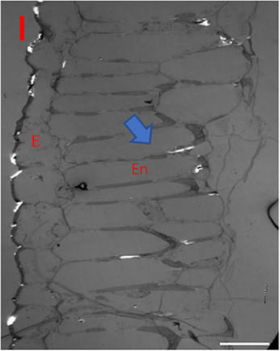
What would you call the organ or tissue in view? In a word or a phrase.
Anther wall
